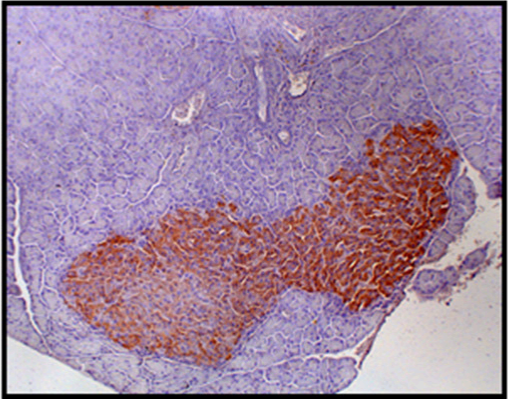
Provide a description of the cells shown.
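A section of pancreas shows a large, irregular, elongated islet of Langerhans embedded among exocrine acini. The islet is sharply separated from the surrounding acinar tissue, whose cells are pale purple with blue nuclei and are grouped in small rounded acini outlined by thin pale septa. Near the top of the field, small ducts and vessels with open lumina lie in the connective tissue, and a thin strip of connective tissue borders the lower right edge.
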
